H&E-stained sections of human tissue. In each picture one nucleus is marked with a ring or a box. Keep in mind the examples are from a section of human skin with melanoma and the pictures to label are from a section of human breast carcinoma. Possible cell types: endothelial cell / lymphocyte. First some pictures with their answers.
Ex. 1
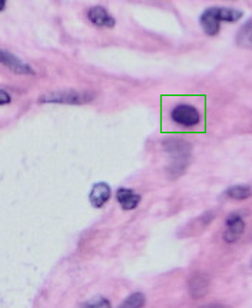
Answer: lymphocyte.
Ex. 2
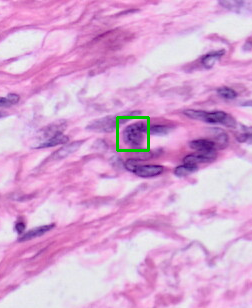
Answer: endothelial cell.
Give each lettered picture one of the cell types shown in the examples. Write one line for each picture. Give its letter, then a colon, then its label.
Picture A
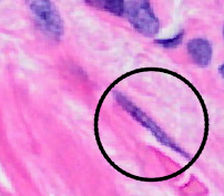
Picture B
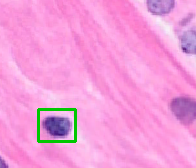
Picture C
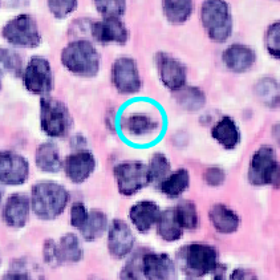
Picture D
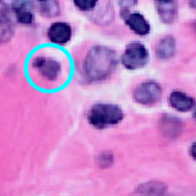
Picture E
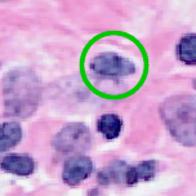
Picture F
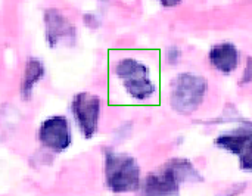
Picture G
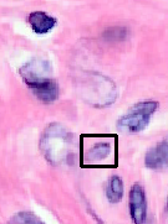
A: endothelial cell.
B: lymphocyte.
C: lymphocyte.
D: lymphocyte.
E: lymphocyte.
F: lymphocyte.
G: endothelial cell.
